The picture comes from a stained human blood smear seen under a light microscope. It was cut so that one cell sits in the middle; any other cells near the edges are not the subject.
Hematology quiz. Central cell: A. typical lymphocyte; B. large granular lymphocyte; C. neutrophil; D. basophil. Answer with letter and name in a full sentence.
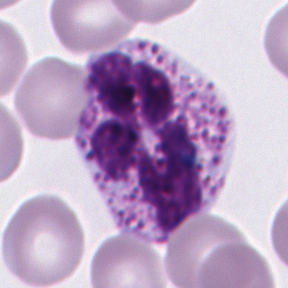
The centrally located cell is a basophil, making option D the correct choice.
